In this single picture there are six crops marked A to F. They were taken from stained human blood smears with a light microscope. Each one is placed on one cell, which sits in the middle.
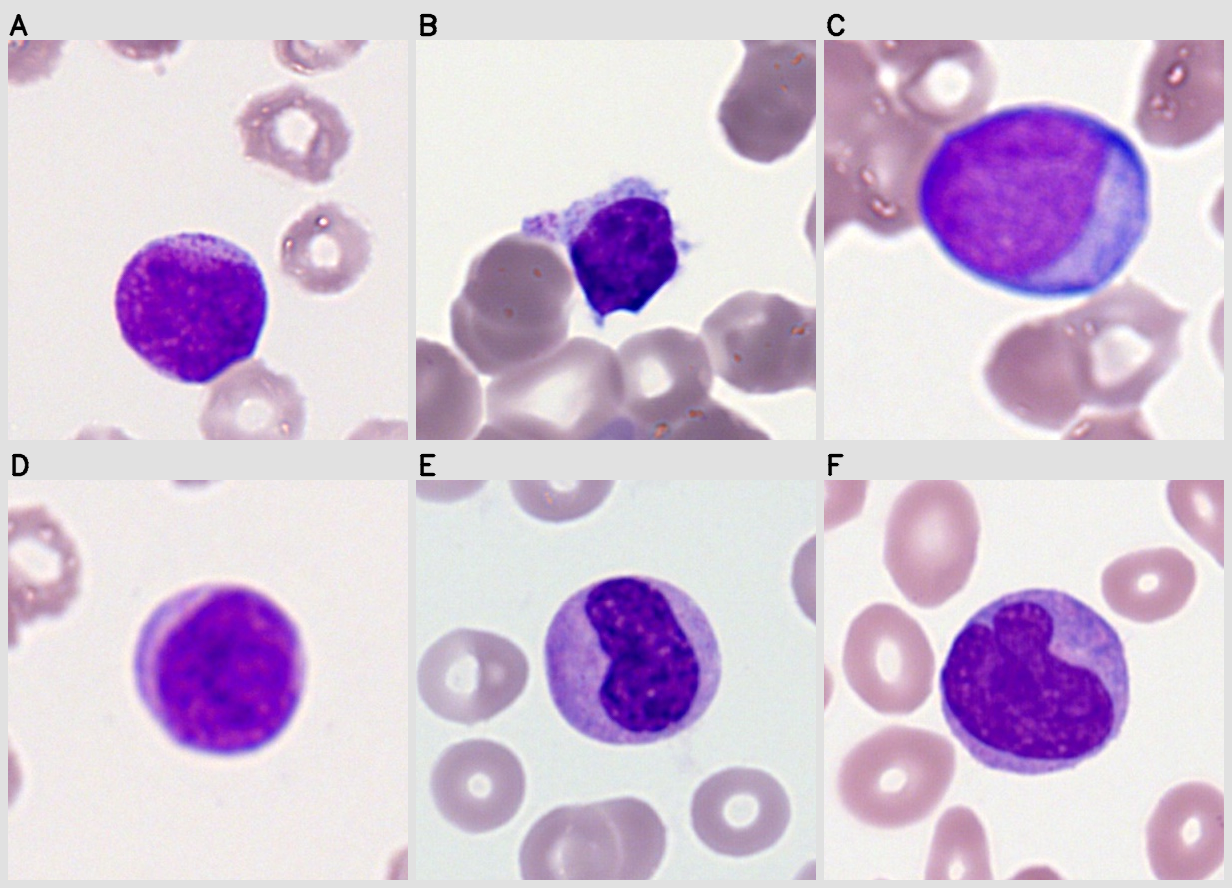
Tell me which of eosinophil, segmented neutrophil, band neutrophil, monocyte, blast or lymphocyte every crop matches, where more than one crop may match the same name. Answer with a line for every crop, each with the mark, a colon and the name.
A: blast
B: lymphocyte
C: blast
D: lymphocyte
E: band neutrophil
F: blast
